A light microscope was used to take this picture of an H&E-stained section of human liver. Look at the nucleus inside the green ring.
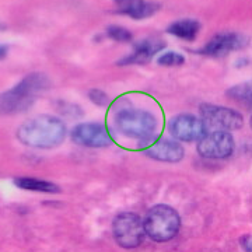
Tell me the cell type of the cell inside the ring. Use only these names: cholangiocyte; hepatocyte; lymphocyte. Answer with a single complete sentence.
The cell type represented by the cell inside the ring is that of a cholangiocyte.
